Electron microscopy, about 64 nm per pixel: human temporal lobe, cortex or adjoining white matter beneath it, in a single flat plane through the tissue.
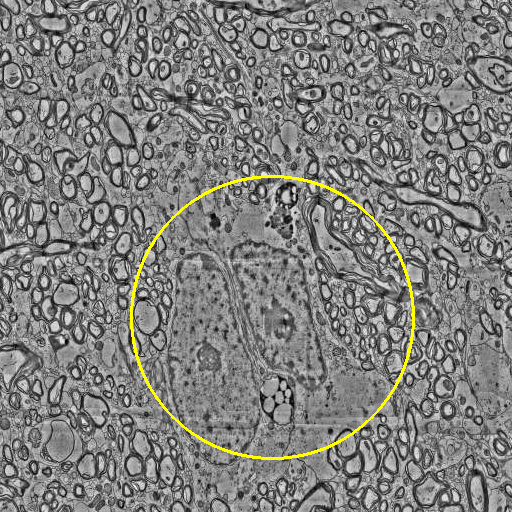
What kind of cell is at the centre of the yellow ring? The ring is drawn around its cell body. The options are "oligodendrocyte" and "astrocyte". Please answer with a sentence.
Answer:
The yellow ring marks the cell body of an astrocyte.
